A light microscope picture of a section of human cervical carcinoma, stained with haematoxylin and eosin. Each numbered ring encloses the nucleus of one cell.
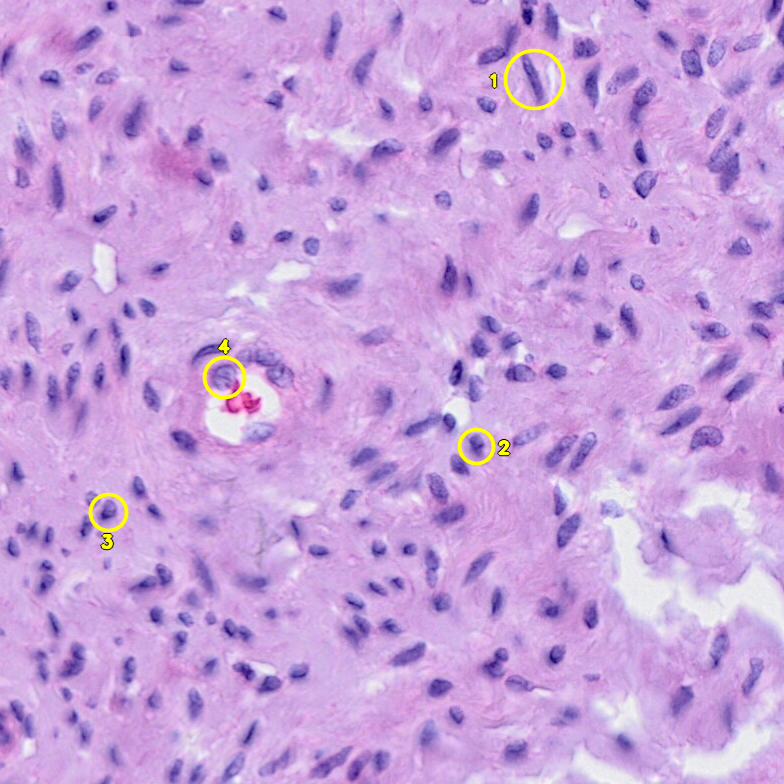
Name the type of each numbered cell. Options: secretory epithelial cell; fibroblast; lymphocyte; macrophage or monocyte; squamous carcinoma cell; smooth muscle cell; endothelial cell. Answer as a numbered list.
1. fibroblast
2. fibroblast
3. fibroblast
4. endothelial cell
